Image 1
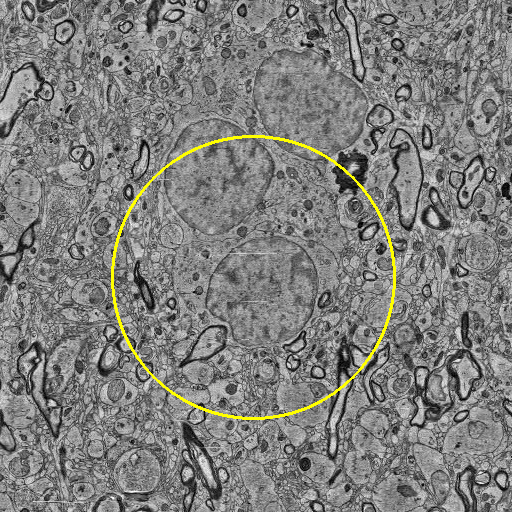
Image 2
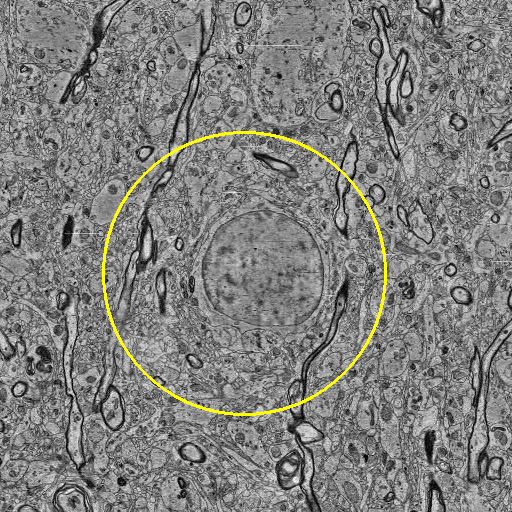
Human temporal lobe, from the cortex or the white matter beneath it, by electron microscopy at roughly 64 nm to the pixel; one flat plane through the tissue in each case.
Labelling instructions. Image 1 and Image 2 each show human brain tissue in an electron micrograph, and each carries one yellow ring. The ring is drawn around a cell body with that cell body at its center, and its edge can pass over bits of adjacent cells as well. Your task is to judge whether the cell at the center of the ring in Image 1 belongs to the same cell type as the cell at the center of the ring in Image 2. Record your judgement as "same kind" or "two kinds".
two kinds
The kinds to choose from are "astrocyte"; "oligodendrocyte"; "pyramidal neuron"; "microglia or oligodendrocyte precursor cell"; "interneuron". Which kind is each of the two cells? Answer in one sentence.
Of the two, the first cell is an oligodendrocyte and the second cell is a microglial cell or oligodendrocyte precursor cell.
